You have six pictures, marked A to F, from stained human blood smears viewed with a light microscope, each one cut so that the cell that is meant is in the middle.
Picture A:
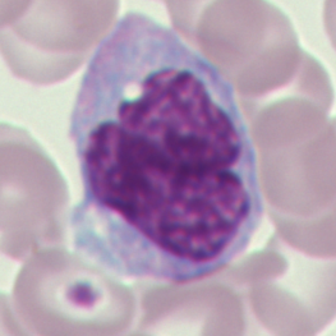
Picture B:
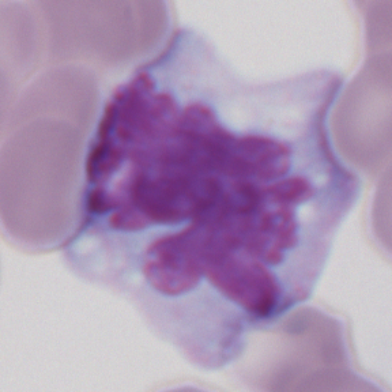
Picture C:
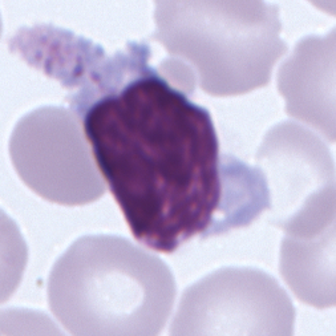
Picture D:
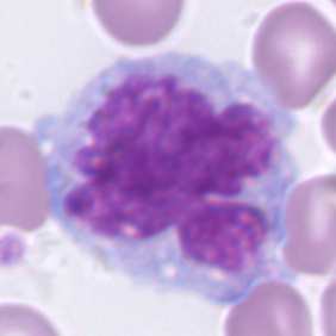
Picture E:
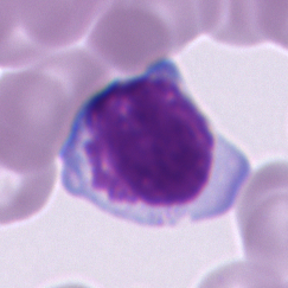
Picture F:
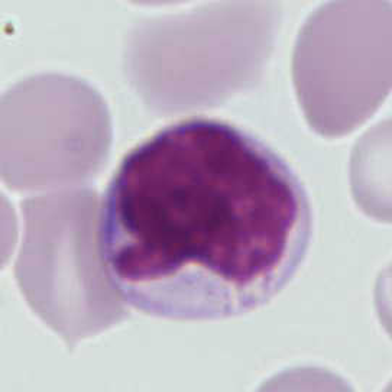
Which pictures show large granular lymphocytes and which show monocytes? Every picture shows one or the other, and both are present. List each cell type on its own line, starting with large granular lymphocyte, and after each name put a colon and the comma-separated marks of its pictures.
large granular lymphocyte: C, E, F
monocyte: A, B, D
